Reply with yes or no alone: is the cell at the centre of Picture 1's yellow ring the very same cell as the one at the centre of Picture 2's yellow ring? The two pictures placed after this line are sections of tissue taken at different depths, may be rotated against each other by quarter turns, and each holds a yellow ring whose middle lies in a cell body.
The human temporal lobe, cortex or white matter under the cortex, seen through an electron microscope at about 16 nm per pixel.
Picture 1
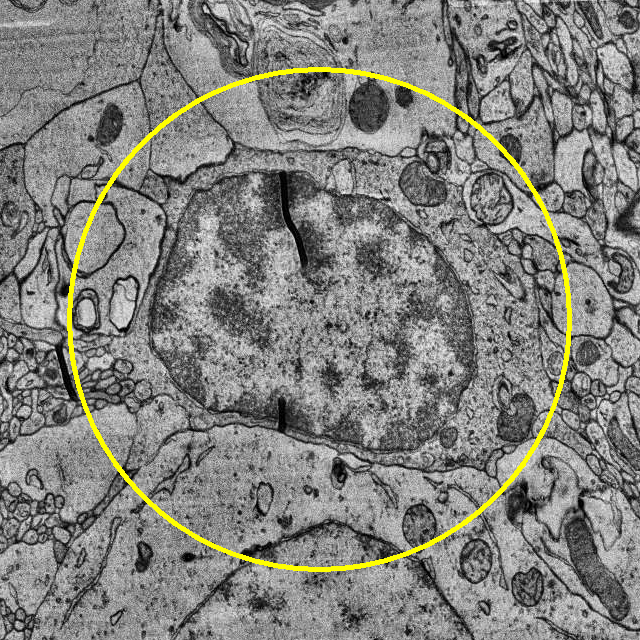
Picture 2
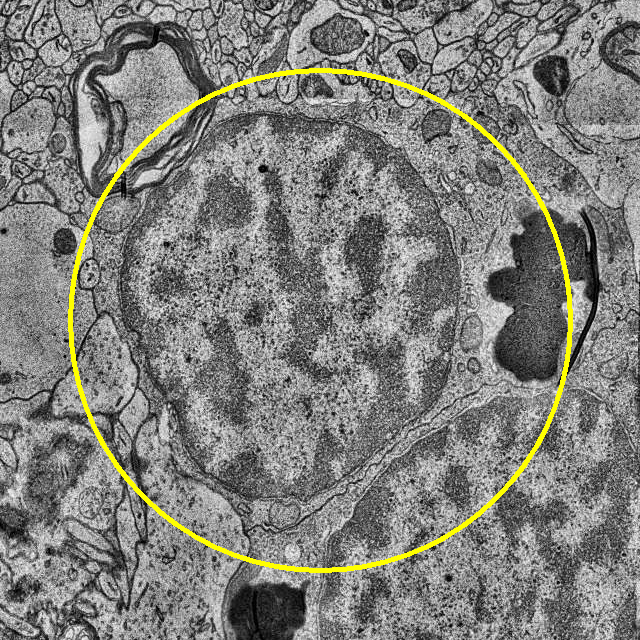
no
